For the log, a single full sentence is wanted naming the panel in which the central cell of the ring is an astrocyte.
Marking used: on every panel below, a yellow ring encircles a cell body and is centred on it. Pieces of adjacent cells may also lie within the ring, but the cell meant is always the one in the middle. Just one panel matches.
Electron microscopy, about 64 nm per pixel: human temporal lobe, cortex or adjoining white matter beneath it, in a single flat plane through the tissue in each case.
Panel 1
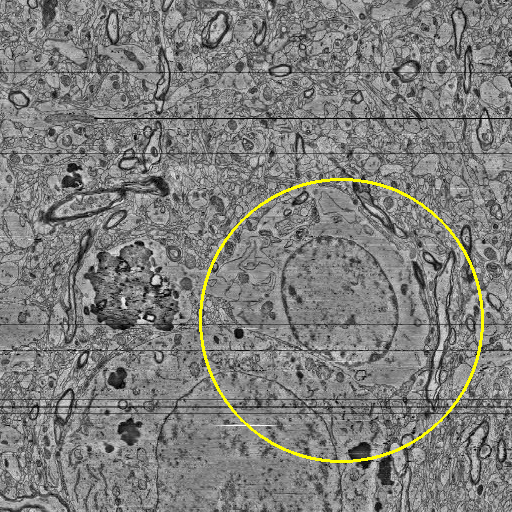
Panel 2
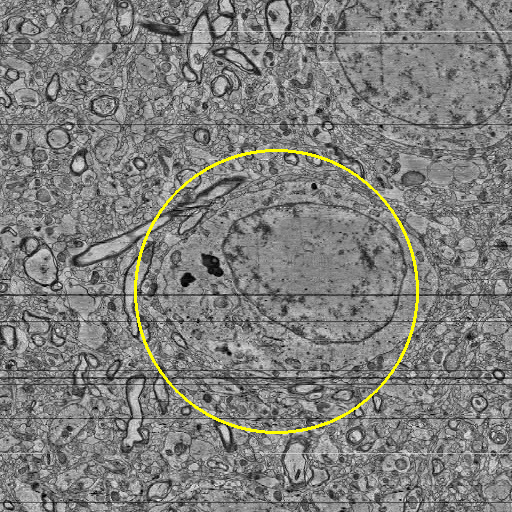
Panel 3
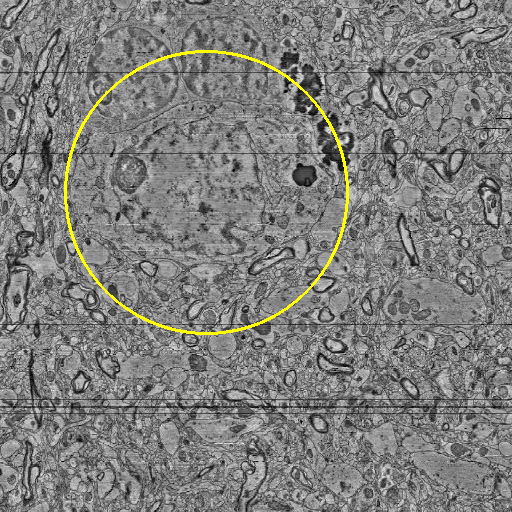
The cell in the middle of the ring in panel 1 is the one asked for.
